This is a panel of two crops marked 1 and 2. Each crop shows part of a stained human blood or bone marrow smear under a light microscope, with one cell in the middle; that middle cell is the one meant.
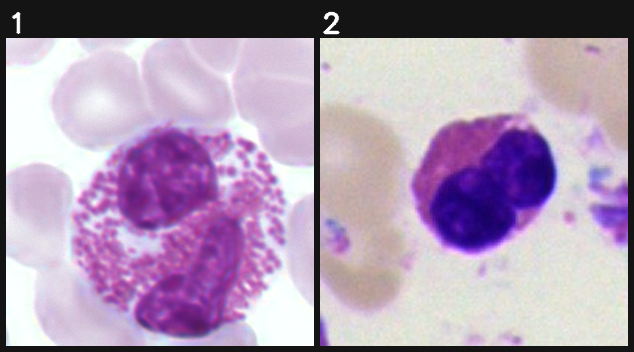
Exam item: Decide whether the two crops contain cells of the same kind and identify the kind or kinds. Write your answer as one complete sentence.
Yes, at the centre of both crops are eosinophils.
